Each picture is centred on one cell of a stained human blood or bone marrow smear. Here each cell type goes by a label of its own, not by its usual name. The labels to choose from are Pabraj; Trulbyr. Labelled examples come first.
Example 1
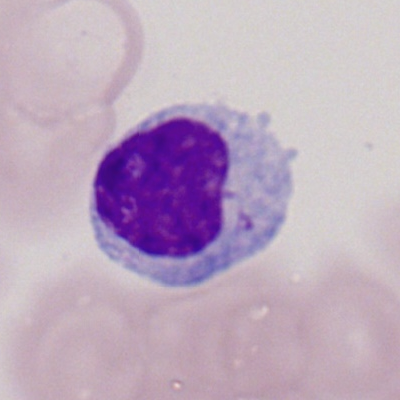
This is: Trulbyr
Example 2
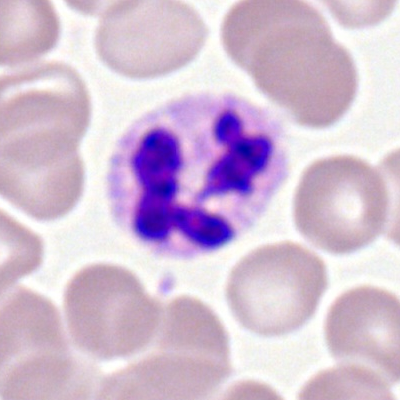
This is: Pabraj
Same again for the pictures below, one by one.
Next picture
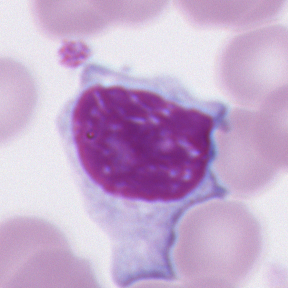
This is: Trulbyr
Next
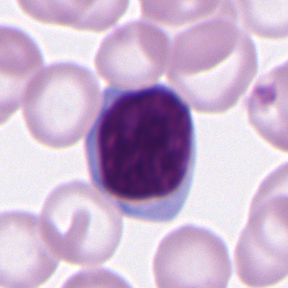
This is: Trulbyr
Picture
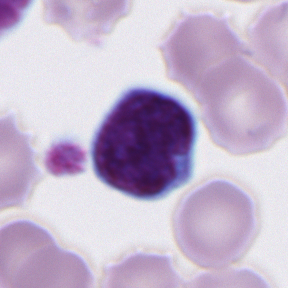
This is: Trulbyr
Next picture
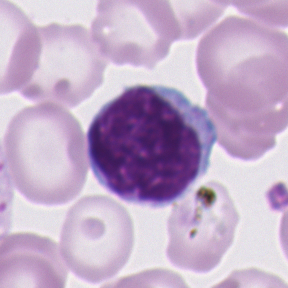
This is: Trulbyr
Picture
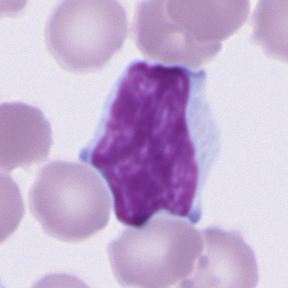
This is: Trulbyr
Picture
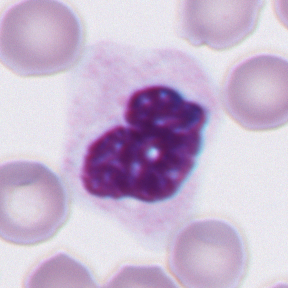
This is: Pabraj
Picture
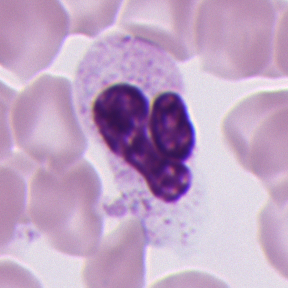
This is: Pabraj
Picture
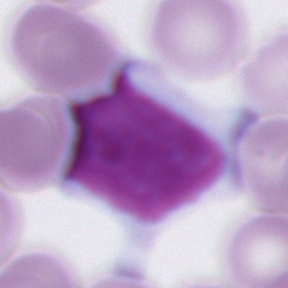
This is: Trulbyr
